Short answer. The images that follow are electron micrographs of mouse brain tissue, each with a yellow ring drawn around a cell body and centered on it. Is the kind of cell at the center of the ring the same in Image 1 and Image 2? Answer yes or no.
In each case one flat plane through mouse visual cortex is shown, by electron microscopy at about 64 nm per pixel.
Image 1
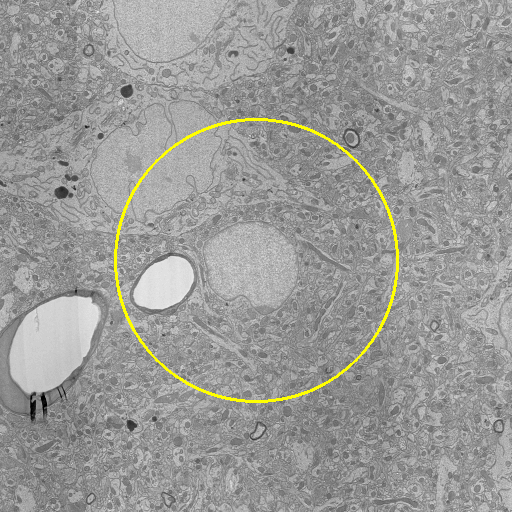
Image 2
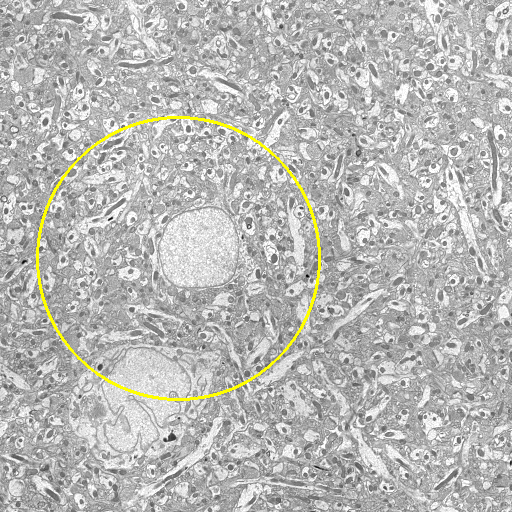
yes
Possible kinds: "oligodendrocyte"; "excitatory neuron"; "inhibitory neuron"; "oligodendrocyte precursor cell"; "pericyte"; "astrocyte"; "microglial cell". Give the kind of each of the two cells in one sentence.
Each of the two rings is centred on an astrocyte.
